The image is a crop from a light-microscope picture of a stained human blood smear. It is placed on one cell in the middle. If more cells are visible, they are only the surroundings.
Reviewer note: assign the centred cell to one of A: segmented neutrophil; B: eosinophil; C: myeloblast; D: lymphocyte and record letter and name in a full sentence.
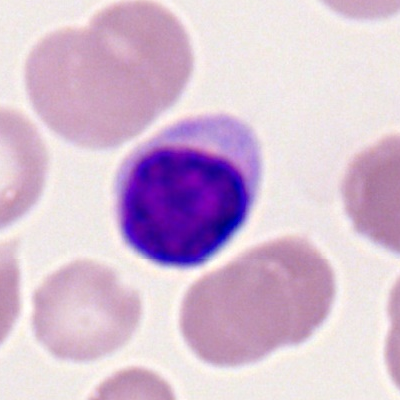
With the cell in the middle being a lymphocyte, option D is the correct choice.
